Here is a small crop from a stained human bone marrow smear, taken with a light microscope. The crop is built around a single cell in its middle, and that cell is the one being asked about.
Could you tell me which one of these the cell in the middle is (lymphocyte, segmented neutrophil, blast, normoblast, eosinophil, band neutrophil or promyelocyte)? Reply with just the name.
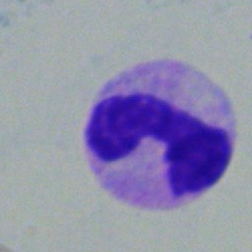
band neutrophil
